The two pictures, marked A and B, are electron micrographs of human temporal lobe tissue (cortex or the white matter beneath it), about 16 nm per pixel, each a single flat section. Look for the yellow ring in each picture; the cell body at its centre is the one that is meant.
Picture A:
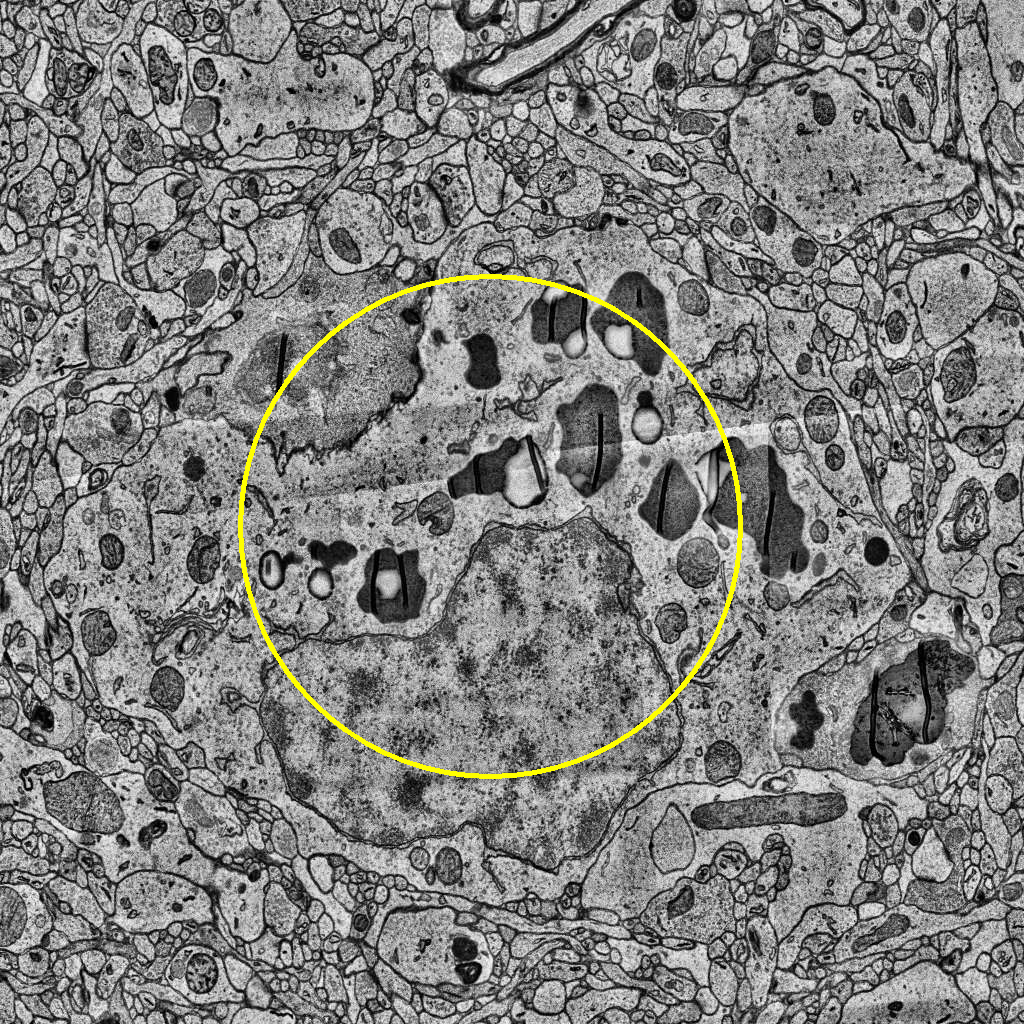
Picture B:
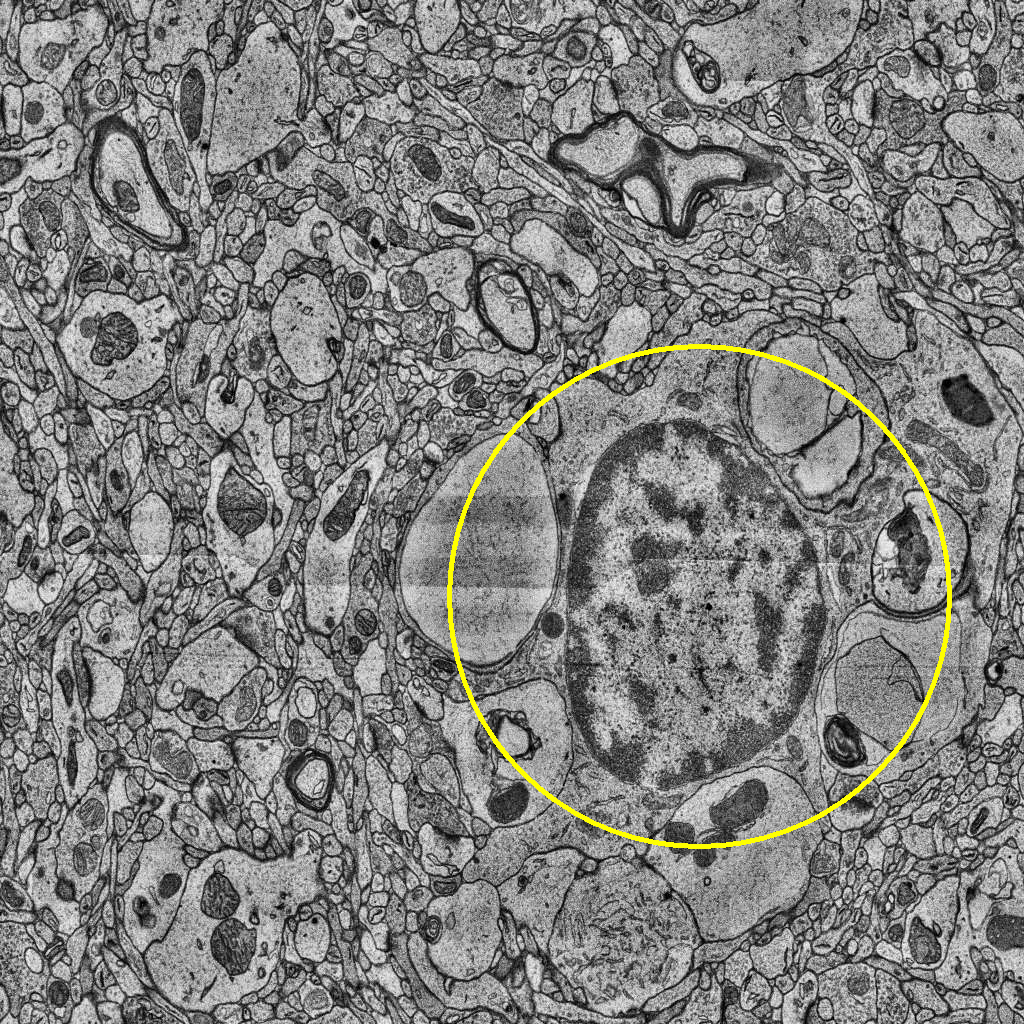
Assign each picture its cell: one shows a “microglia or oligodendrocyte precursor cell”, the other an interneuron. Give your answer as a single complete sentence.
Picture B shows a “microglia or oligodendrocyte precursor cell”, while picture A shows an interneuron.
